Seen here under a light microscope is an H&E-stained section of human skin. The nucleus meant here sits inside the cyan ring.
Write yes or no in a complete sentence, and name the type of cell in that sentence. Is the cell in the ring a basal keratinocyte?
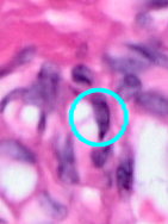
No, score the cell in the ring as an endothelial cell; it is not a basal keratinocyte.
